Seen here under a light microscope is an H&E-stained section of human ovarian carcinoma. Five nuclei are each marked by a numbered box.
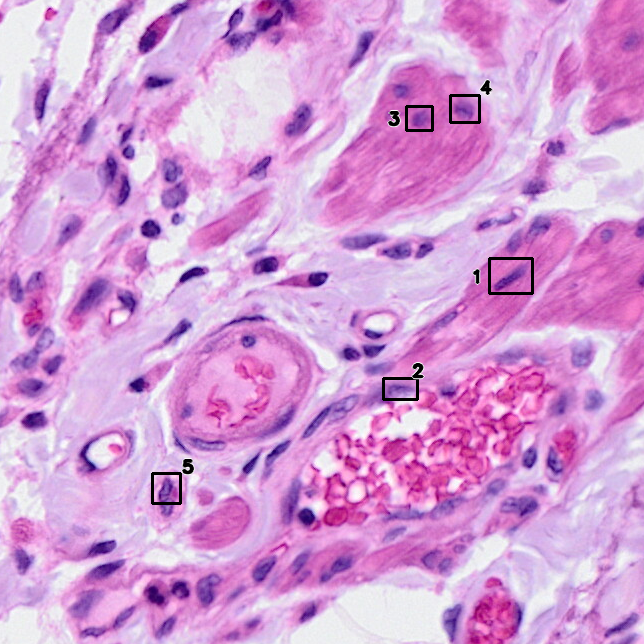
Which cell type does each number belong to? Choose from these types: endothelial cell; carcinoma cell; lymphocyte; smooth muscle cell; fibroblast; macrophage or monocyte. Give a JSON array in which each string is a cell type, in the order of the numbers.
["smooth muscle cell", "endothelial cell", "smooth muscle cell", "smooth muscle cell", "endothelial cell"]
